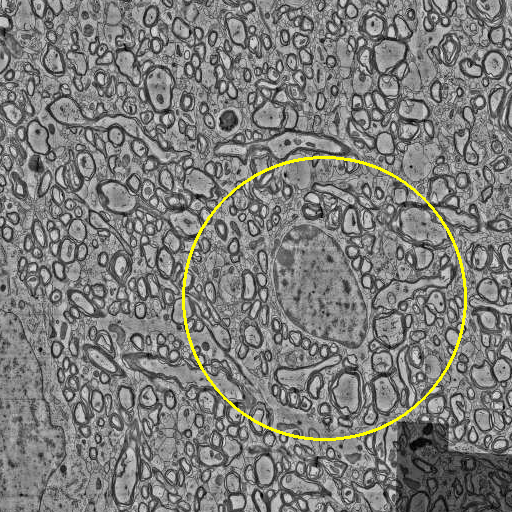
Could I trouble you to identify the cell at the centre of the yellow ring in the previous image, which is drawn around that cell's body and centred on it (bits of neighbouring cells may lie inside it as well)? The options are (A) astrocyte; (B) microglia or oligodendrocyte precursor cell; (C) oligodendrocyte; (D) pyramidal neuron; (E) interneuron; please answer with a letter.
B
